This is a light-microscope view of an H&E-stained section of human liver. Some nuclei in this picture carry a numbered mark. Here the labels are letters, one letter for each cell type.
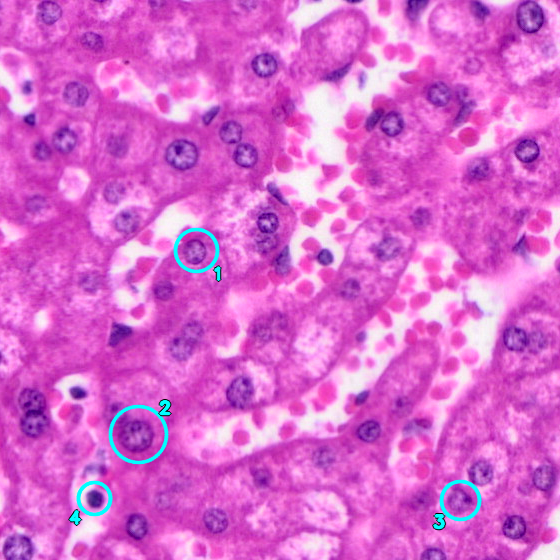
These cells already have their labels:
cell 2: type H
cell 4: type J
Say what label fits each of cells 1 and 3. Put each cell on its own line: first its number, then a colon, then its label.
1: type H
3: type H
